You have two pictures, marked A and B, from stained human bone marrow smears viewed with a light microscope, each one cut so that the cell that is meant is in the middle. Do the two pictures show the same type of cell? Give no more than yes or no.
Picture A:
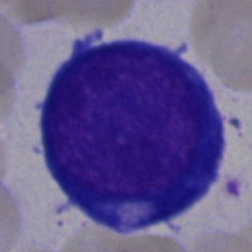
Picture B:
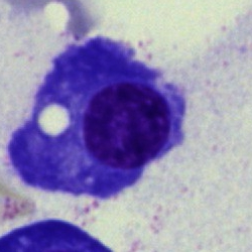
no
